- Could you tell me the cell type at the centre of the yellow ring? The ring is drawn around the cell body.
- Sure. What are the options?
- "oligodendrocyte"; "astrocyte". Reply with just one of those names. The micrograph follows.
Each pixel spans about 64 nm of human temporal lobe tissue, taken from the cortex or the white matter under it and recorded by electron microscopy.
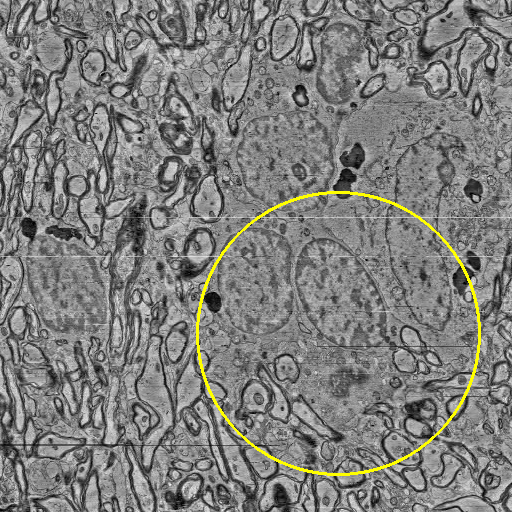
oligodendrocyte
